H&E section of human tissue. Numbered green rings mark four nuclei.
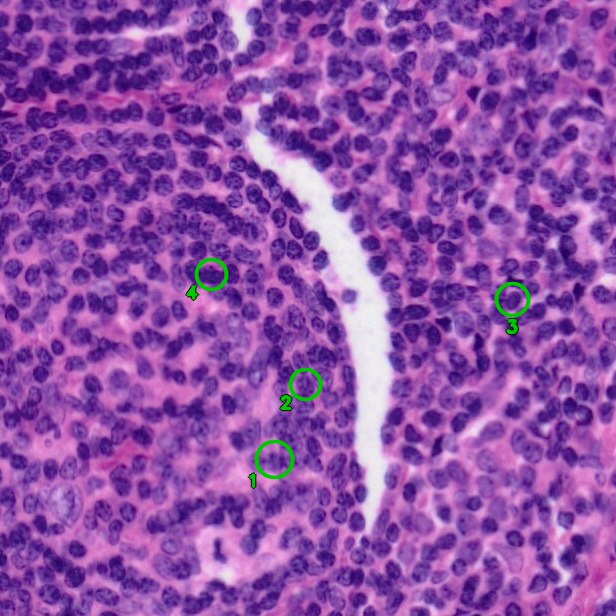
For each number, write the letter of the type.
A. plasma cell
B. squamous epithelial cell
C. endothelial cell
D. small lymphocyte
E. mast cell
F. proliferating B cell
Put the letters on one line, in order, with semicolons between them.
F; D; D; D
